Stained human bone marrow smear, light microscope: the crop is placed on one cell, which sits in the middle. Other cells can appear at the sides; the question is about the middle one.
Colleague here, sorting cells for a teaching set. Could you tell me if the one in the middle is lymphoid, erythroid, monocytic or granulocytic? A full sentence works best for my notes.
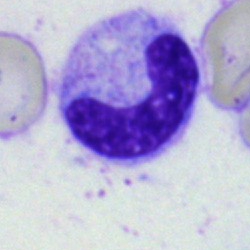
Among the lineages, the granulocytic one is that of the central cell.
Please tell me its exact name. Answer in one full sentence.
The cell of interest, located centrally, is a band neutrophil.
